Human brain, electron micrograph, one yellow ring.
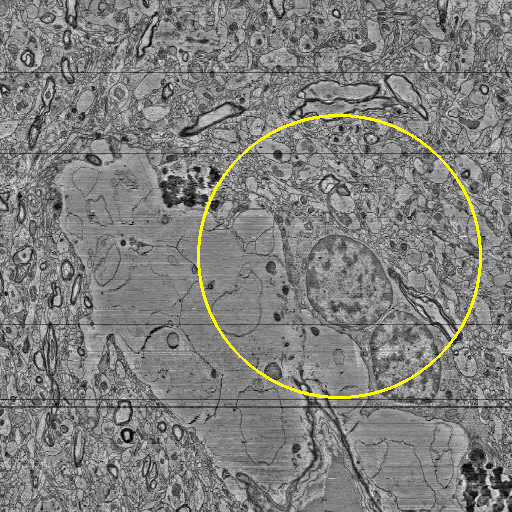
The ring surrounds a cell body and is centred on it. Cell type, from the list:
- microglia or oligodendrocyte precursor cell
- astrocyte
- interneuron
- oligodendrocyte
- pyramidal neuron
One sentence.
The yellow ring circles an oligodendrocyte.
